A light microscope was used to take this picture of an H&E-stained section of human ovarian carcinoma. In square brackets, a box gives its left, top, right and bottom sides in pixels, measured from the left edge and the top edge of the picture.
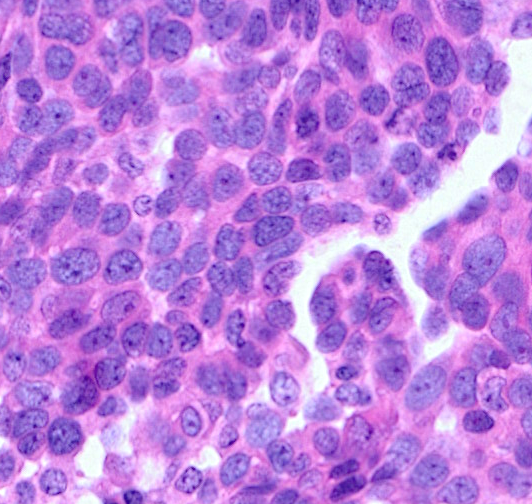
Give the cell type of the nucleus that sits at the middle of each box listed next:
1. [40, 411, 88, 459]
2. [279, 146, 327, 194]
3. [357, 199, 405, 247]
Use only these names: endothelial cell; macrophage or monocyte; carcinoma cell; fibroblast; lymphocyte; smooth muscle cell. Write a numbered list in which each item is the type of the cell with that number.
1. carcinoma cell
2. carcinoma cell
3. macrophage or monocyte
